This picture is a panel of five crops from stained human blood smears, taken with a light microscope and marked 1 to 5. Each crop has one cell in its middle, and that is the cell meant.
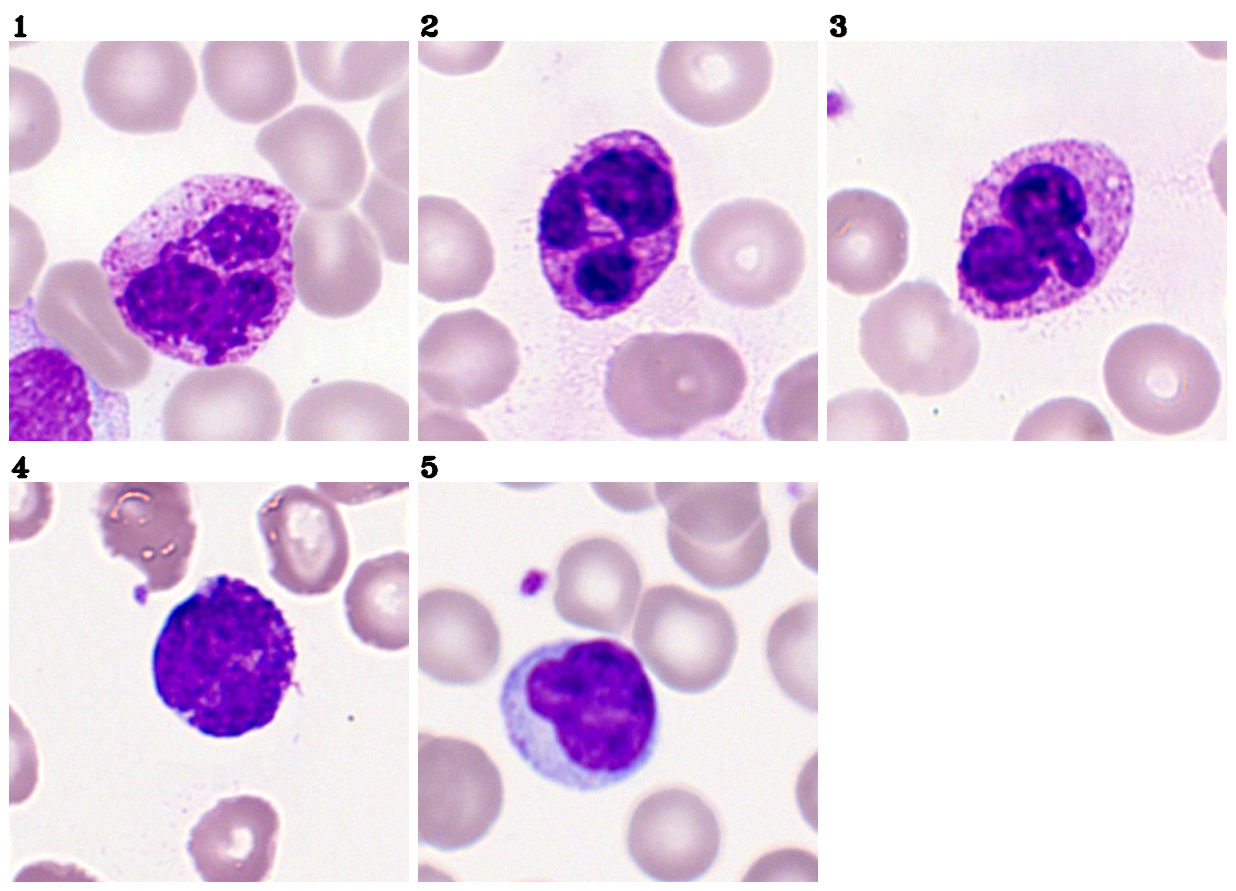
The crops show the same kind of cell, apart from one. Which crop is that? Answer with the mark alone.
5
